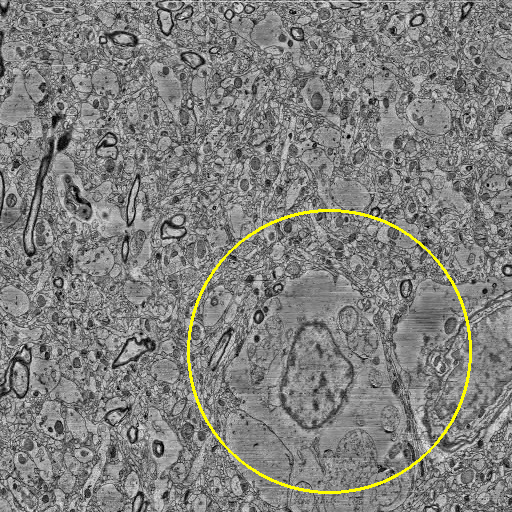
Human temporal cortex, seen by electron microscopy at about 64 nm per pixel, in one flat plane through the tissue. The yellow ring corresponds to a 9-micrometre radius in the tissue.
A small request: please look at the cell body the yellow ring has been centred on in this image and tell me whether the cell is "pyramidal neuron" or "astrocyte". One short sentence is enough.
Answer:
The cell marked by the ring is an astrocyte.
